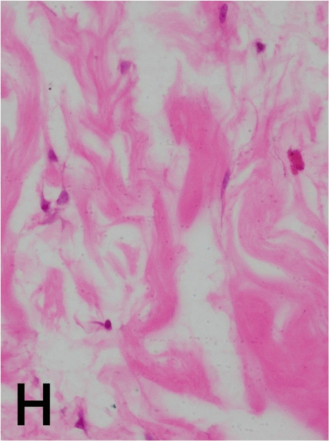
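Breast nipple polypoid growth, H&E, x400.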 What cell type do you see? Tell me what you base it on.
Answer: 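Scattered cells with small dark nuclei lie between pink fibres. Some cells show thin tapering processes. The answer: stromal stellate cells.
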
